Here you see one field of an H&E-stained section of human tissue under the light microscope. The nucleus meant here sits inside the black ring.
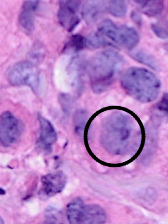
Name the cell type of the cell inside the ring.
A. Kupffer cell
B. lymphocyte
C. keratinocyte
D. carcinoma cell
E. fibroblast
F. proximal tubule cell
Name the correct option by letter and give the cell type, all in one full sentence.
Among the choices, option D is correct, the cell inside the ring being a carcinoma cell.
